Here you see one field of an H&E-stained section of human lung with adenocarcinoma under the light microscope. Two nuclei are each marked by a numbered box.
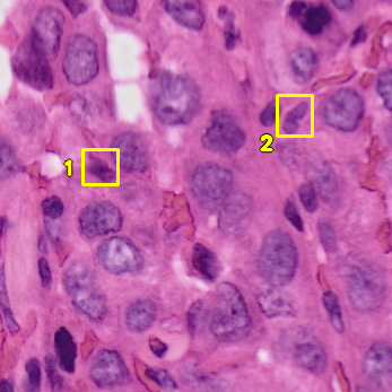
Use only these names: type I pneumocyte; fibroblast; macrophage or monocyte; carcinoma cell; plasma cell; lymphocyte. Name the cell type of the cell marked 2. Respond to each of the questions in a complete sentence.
The cell numbered 2 represents a macrophage or monocyte.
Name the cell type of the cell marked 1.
The cell referenced by the number 1 is a carcinoma cell in this field.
